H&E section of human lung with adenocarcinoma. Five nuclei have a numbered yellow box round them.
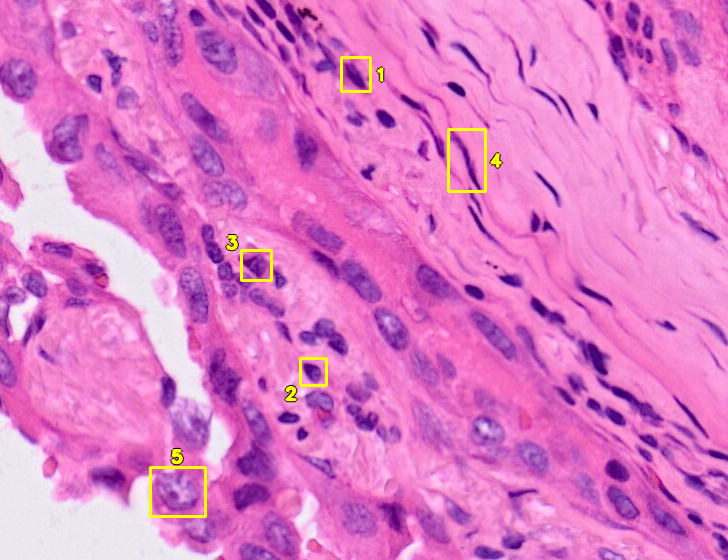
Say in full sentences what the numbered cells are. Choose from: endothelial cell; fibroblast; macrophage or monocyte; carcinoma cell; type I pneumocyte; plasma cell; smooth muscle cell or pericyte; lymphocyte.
Cell 1 is a plasma cell, cell 2 is a lymphocyte, cell 3 is a plasma cell, cell 4 is an endothelial cell and cell 5 is a carcinoma cell.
